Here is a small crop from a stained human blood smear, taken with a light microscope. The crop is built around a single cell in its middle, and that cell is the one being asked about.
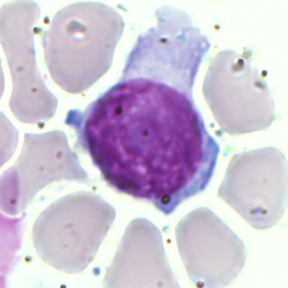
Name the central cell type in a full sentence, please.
In the crop, the cell of interest at the centre is a plasma cell.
